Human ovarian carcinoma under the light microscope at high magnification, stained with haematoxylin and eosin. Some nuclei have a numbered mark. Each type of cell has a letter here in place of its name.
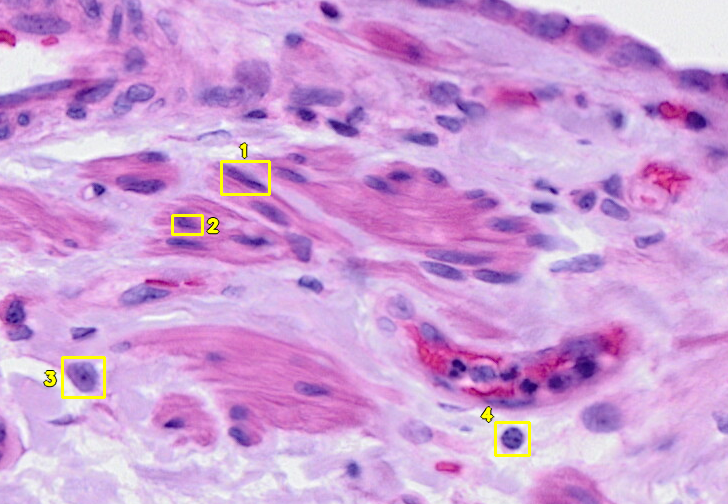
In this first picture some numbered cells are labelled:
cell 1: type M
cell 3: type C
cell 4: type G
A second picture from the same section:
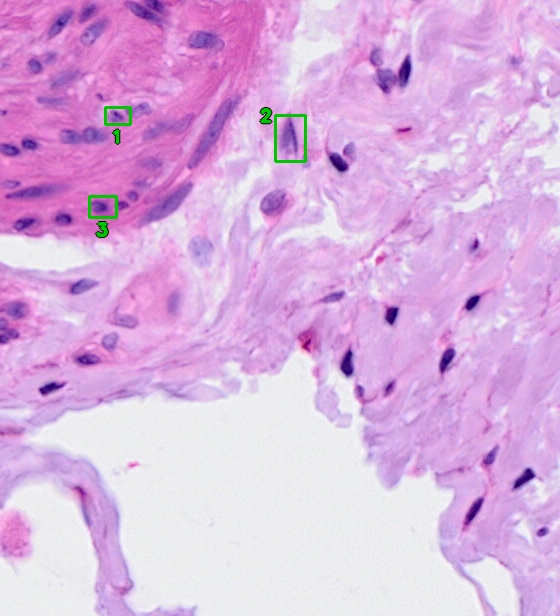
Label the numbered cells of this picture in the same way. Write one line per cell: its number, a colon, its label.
1: type M
2: type C
3: type M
